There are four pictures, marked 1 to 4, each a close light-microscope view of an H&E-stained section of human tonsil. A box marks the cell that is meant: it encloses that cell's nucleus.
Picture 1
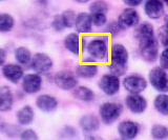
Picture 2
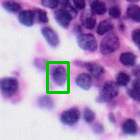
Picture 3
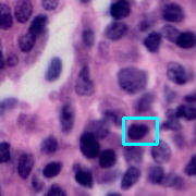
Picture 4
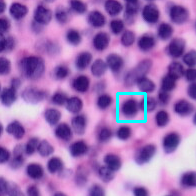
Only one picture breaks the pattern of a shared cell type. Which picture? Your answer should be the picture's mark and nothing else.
3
